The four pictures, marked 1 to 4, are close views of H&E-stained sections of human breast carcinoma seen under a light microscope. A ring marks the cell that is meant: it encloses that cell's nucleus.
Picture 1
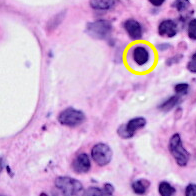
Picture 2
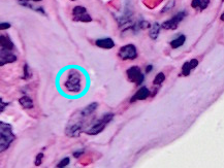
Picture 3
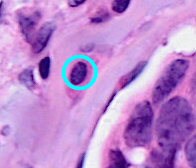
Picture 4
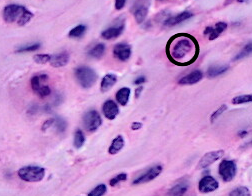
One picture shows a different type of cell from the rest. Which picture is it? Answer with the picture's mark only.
1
